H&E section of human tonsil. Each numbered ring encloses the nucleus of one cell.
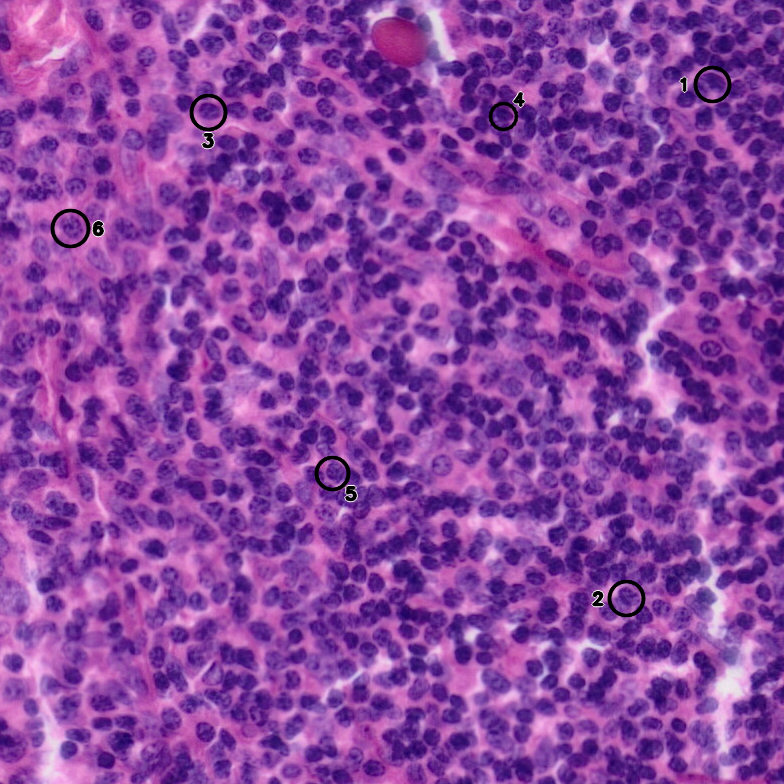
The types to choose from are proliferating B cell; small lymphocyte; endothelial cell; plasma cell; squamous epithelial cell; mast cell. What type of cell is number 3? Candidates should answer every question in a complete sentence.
The cell whose nucleus carries the number 3 is a plasma cell.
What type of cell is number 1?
Cell number 1 in this section is a small lymphocyte.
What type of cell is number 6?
Number 6 among the marked cells is a plasma cell.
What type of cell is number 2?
At number 2, the marked cell is a small lymphocyte.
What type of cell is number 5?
The cell that is numbered 5 is a small lymphocyte.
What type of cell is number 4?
The cell pointed out by number 4 is a small lymphocyte.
